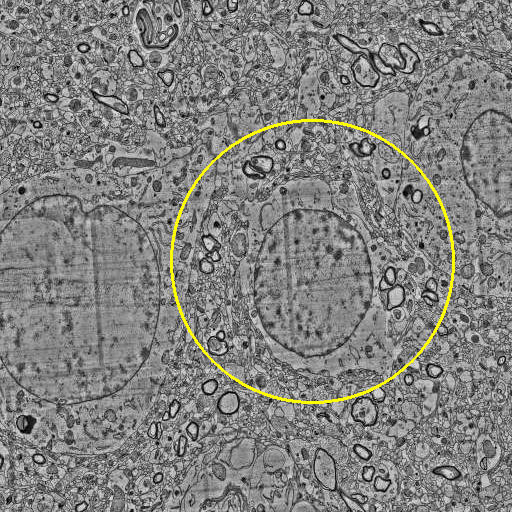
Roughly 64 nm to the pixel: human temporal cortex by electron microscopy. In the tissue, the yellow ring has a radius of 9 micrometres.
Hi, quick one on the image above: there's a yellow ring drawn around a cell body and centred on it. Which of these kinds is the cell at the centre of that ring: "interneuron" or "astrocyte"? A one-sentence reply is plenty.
The cell at the centre of the ring is an astrocyte.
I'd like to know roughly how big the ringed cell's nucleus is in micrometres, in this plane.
The nucleus works out at approximately 9 by 8 micrometres in this plane.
